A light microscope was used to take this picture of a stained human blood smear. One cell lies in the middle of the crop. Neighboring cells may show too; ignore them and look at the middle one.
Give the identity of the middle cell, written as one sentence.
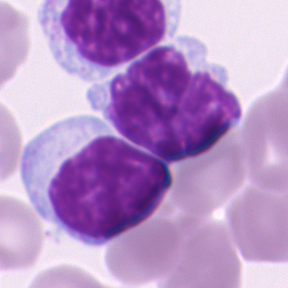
The cell of interest, in the center, is a large granular lymphocyte.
